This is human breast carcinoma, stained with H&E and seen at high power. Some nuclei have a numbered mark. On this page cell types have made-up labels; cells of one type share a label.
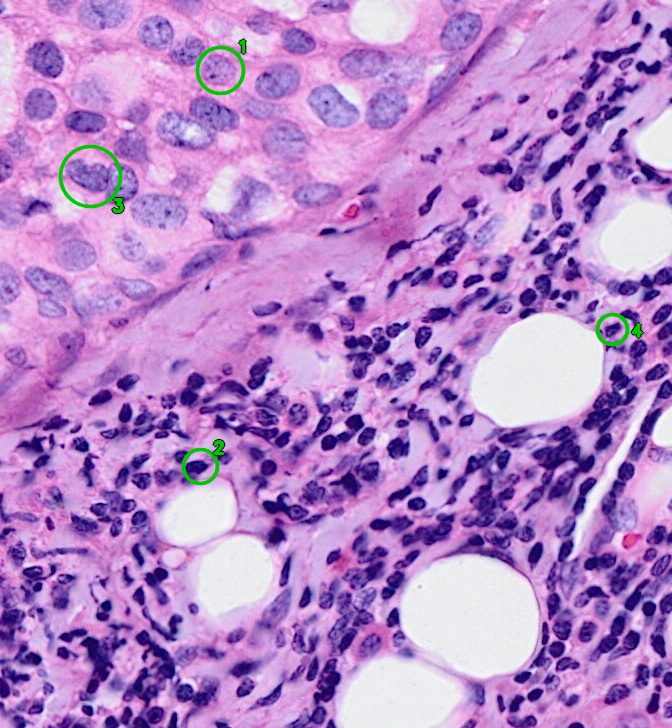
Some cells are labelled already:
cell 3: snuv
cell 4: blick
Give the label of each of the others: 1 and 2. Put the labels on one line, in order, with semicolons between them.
snuv; blick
